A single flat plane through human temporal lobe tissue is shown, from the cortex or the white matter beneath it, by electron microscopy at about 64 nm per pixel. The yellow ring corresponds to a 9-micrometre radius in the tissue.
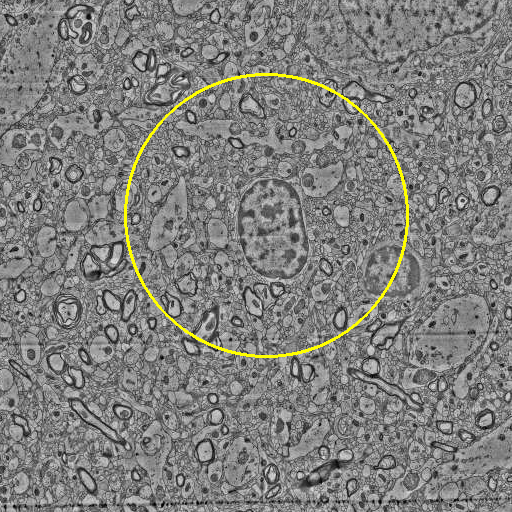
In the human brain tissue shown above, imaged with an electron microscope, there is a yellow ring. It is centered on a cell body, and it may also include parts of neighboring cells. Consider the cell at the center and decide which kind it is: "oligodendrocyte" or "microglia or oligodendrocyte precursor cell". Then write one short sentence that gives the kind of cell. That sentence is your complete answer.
This centered cell body is that of a microglial cell or oligodendrocyte precursor cell.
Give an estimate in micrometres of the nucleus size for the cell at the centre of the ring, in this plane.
About 6 by 4 micrometers for the nucleus, in this plane.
